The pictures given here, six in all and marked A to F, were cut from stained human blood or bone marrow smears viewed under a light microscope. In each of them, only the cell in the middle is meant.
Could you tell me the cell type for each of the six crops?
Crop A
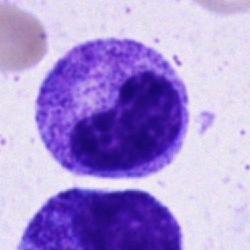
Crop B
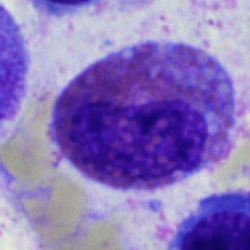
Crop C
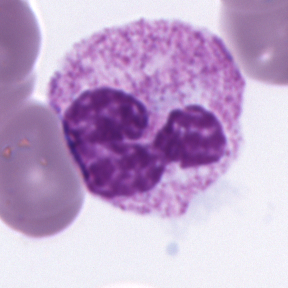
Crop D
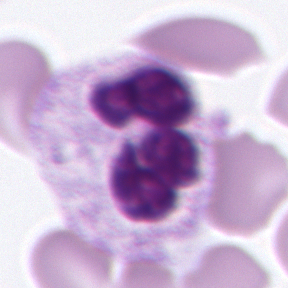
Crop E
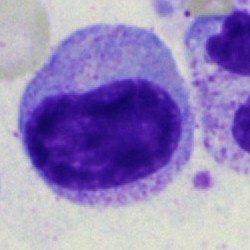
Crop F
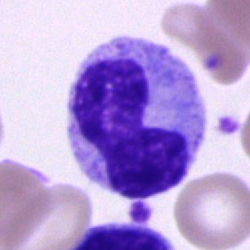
A: metamyelocyte
B: eosinophil
C: segmented neutrophil
D: segmented neutrophil
E: metamyelocyte
F: metamyelocyte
